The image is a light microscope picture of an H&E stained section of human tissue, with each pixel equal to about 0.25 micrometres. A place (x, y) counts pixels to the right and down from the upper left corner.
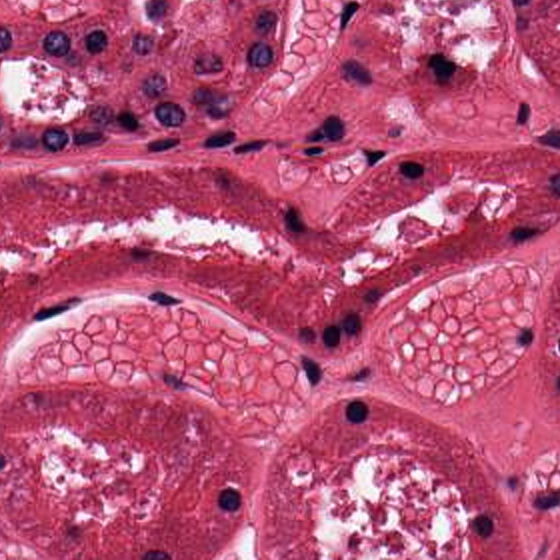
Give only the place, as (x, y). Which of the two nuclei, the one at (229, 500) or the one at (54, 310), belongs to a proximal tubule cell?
(229, 500)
